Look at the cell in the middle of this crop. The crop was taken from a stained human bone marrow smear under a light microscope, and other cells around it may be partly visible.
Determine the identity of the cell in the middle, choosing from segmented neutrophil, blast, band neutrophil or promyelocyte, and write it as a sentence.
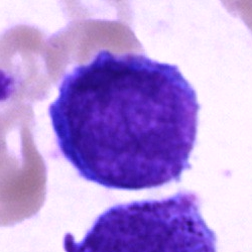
At the middle of the frame sits a blast.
